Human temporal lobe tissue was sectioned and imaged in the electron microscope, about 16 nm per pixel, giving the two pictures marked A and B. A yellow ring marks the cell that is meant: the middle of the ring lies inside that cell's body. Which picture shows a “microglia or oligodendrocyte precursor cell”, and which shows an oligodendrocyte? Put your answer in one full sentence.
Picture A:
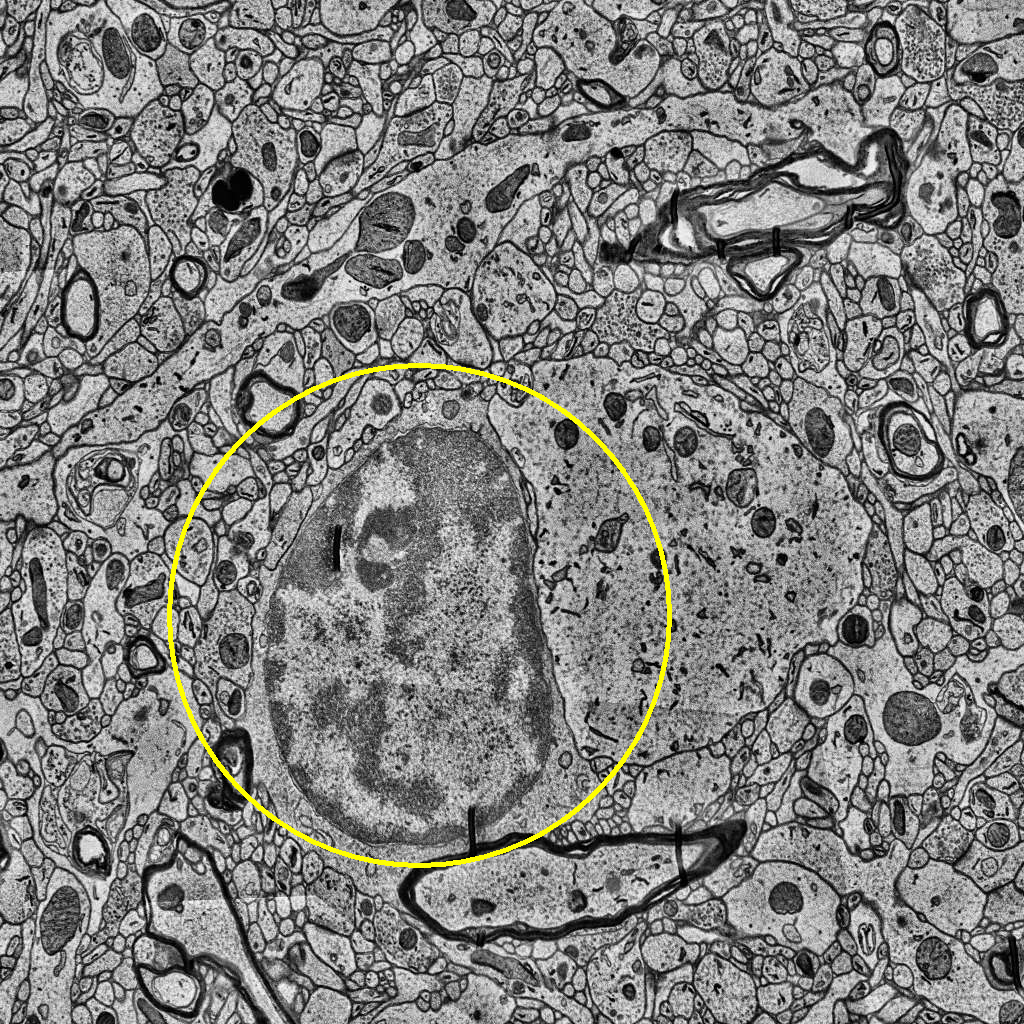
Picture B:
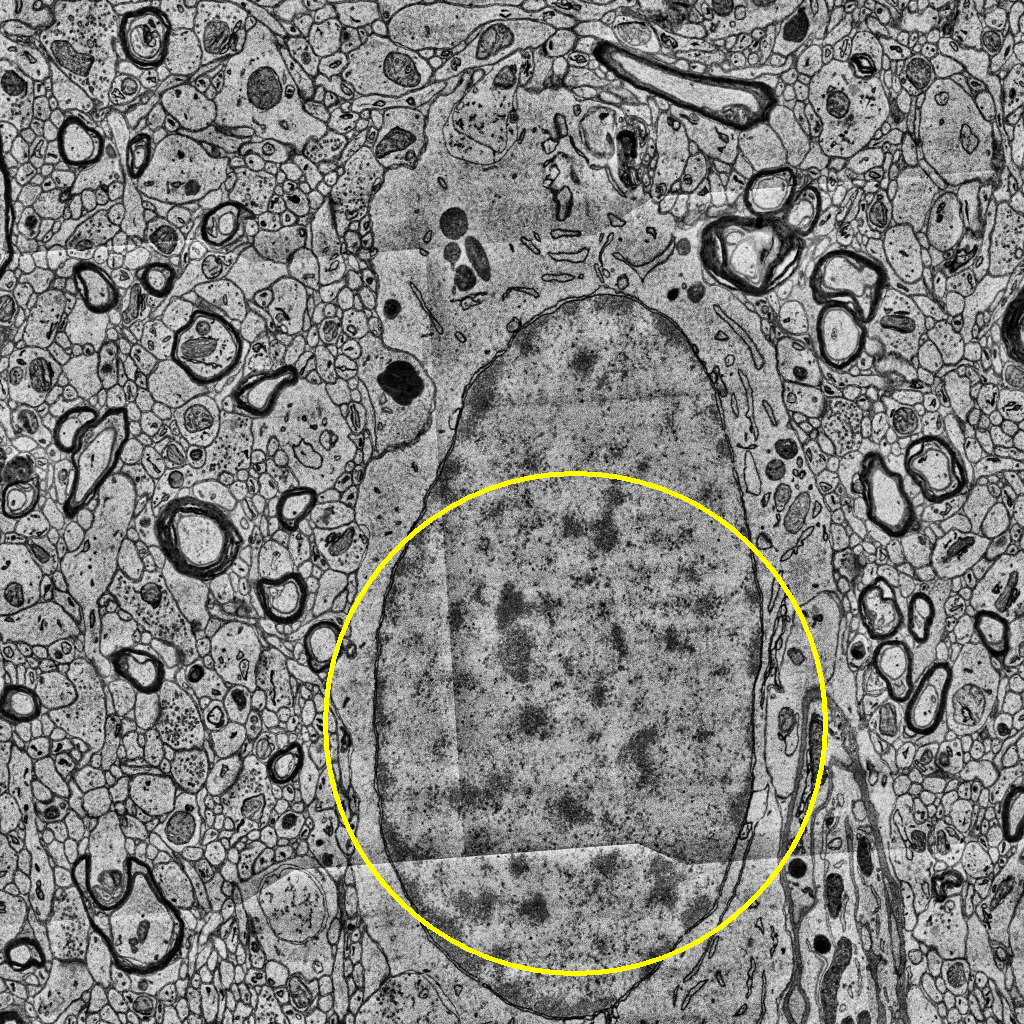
Picture B shows a “microglia or oligodendrocyte precursor cell”, while picture A shows an oligodendrocyte.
